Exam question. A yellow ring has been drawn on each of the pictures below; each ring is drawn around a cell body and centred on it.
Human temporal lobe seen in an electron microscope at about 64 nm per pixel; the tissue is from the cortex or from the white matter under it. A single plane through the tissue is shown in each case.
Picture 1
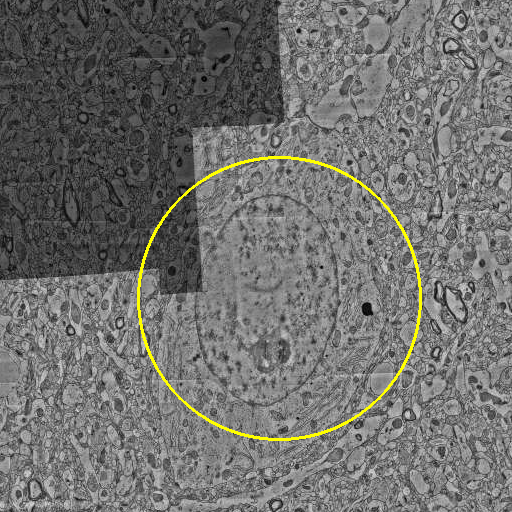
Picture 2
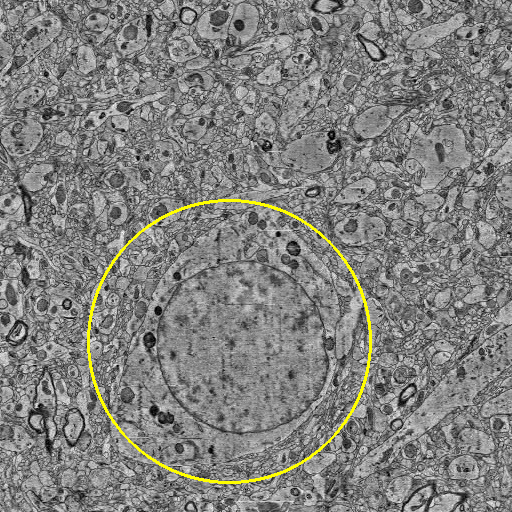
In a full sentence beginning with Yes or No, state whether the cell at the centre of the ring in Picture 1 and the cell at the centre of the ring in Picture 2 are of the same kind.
No, the cells are of two kinds.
